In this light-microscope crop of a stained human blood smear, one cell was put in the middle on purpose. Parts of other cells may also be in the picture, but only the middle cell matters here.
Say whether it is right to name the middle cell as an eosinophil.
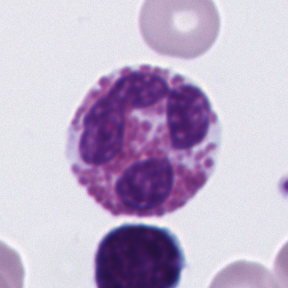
yes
